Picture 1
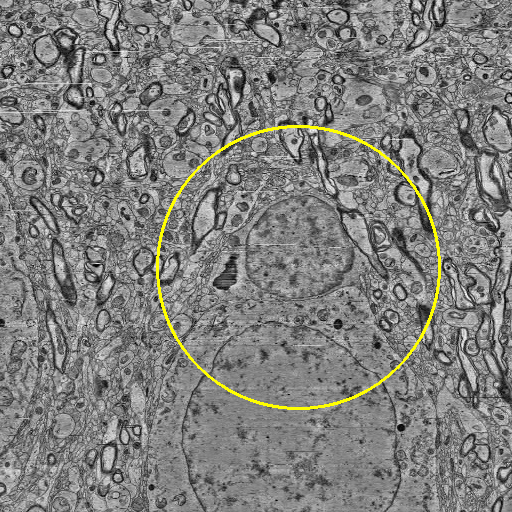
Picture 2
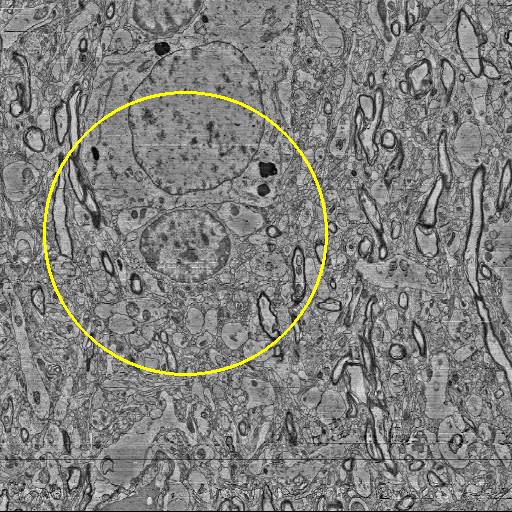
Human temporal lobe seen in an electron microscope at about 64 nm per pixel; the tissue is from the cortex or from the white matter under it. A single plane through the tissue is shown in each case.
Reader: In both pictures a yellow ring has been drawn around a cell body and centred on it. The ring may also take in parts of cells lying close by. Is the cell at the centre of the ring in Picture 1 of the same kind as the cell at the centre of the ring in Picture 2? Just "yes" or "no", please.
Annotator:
yes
